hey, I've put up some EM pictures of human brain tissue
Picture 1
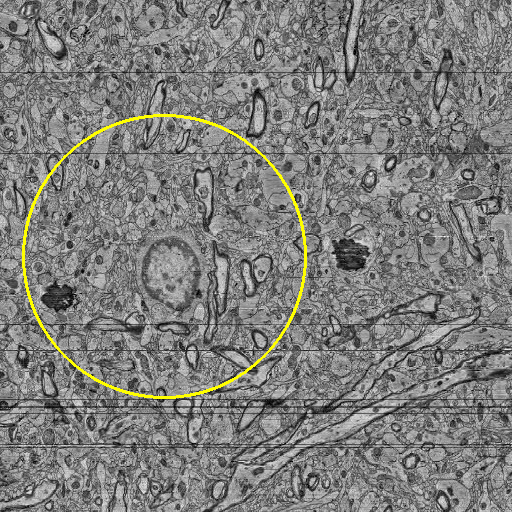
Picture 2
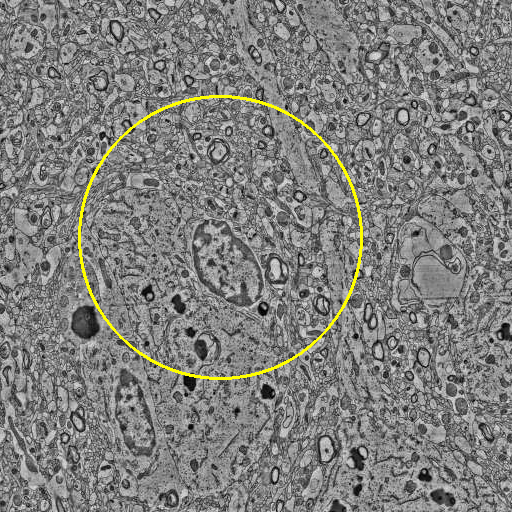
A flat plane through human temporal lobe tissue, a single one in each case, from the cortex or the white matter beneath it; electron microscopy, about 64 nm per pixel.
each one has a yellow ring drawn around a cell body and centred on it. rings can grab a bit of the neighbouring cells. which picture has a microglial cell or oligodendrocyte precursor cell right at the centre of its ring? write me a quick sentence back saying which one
It's Picture 2.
